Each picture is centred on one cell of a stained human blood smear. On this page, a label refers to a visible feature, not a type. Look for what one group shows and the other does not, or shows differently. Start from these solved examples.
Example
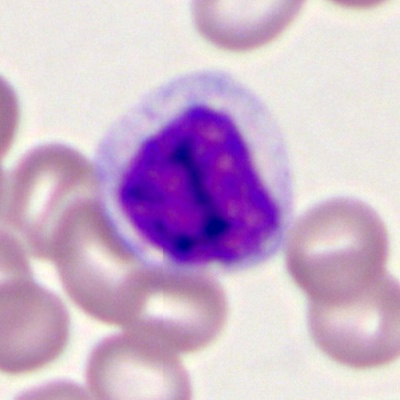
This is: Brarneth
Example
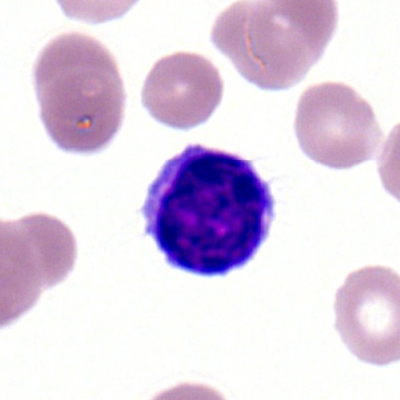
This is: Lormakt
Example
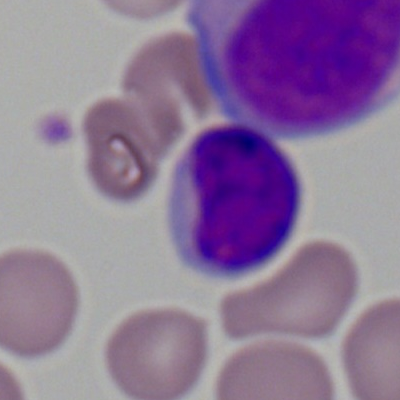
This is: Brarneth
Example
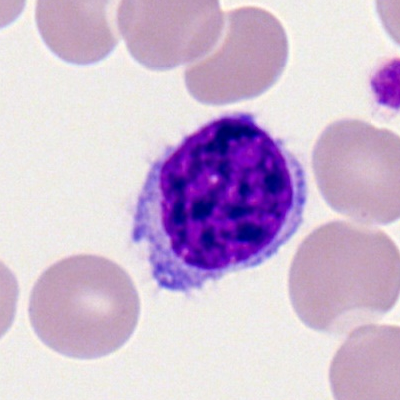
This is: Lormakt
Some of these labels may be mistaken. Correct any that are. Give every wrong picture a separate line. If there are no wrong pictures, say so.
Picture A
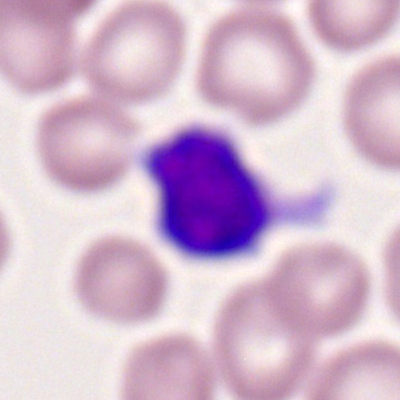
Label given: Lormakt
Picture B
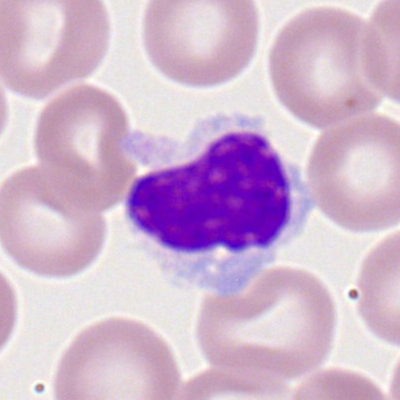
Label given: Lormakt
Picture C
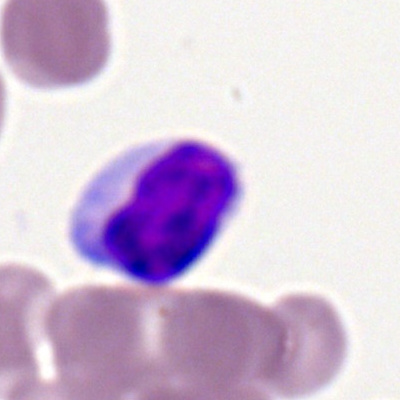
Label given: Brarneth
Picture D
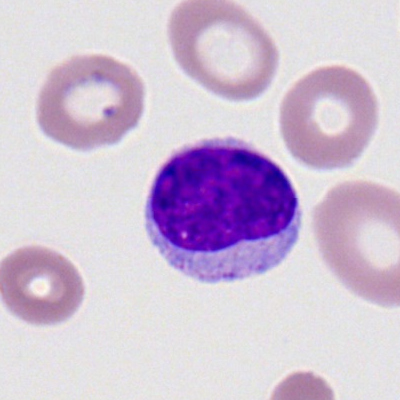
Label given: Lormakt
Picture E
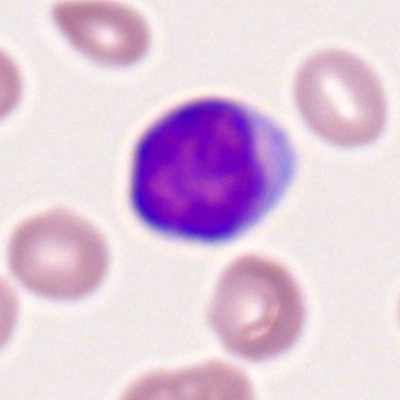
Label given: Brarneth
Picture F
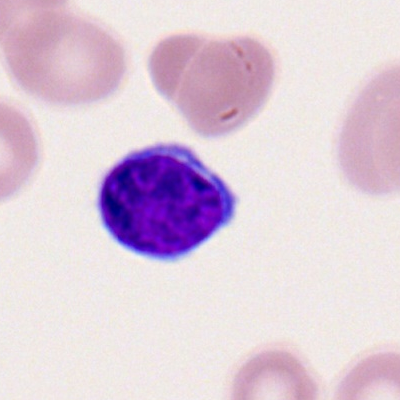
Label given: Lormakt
Wrong: D (Lormakt); correct: Brarneth
Wrong: F (Lormakt); correct: Brarneth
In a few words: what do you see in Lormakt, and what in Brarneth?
Lormakt, ragged outline or projections; Brarneth, smooth outline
